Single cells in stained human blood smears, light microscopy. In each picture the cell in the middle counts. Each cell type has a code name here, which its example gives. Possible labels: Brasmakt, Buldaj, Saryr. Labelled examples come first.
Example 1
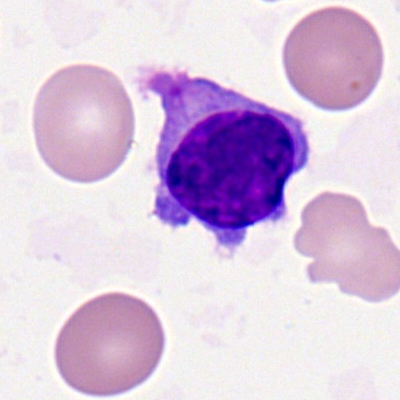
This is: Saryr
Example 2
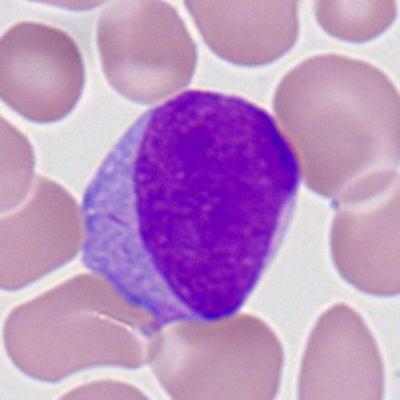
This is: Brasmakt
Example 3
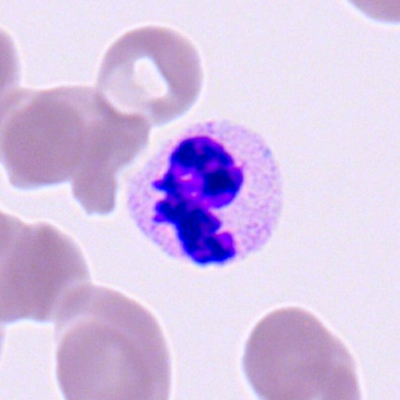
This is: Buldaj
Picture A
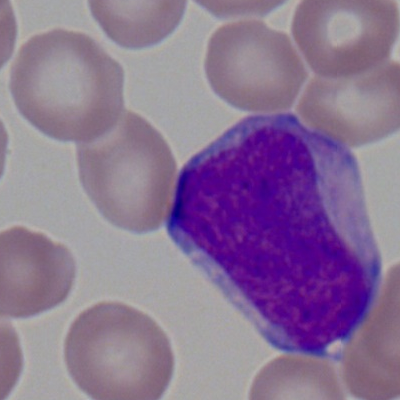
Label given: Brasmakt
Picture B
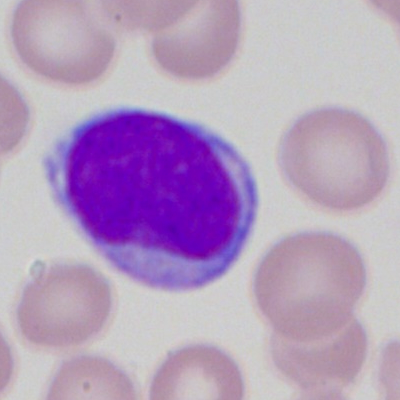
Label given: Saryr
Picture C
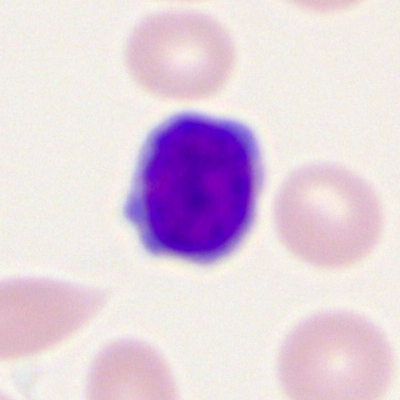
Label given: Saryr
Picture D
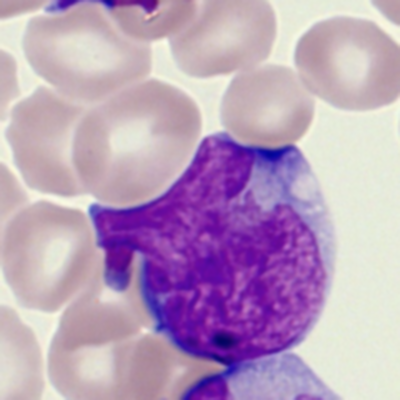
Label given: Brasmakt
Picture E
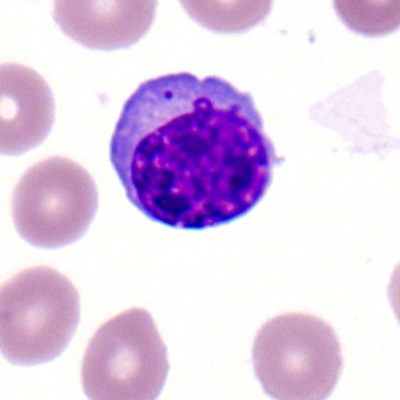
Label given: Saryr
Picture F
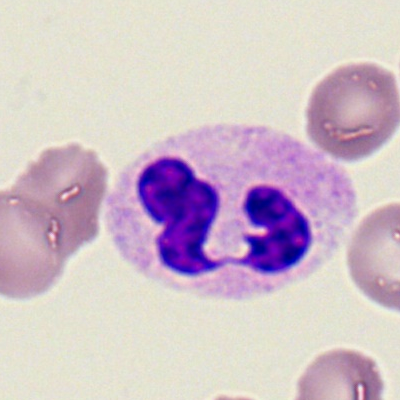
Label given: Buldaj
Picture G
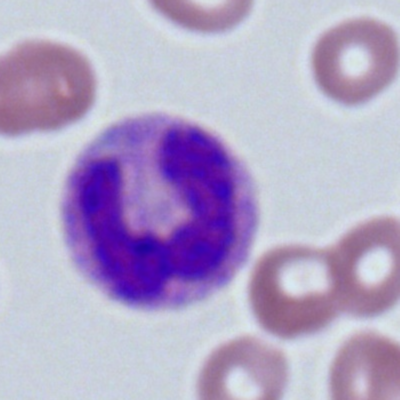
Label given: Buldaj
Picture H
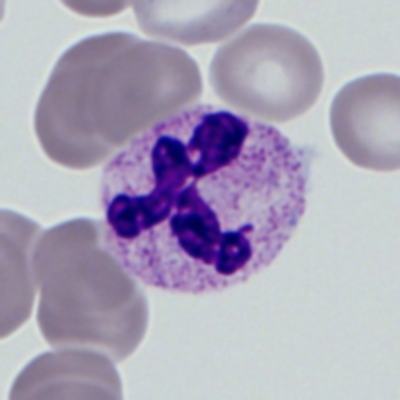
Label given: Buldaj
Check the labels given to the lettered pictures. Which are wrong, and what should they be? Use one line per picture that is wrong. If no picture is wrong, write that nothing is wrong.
B: change Saryr to Brasmakt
